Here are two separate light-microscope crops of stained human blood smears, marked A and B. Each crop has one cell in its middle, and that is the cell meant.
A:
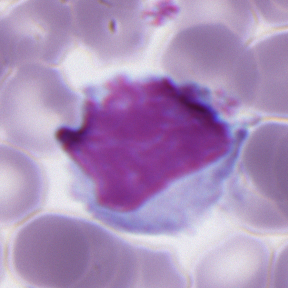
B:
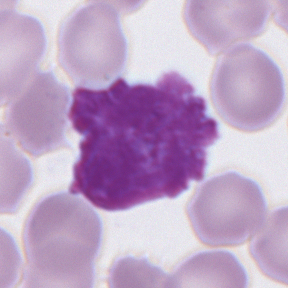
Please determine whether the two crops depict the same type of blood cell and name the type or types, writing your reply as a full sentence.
No, crop A contains a typical lymphocyte, and crop B contains a smudge cell.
